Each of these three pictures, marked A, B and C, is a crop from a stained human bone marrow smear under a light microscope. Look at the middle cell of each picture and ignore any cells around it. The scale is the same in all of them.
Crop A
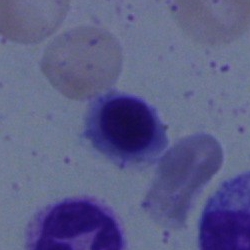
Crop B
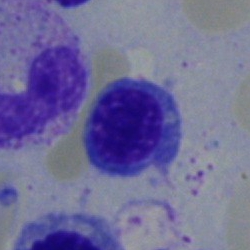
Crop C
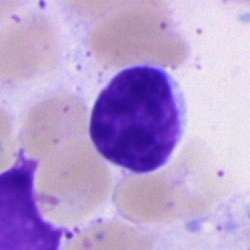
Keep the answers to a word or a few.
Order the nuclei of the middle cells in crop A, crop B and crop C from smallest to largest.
A, B, C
